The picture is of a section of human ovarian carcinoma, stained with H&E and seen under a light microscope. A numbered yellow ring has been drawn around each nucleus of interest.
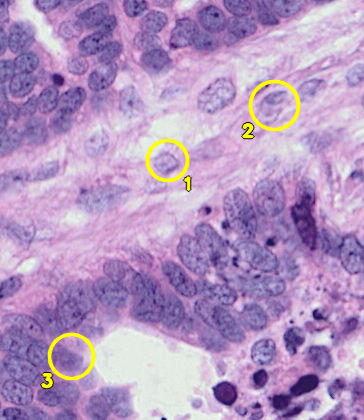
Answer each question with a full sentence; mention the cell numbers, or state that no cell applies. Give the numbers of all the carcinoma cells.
In contrast to the remaining marked cells, cell 3 is a carcinoma cell.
